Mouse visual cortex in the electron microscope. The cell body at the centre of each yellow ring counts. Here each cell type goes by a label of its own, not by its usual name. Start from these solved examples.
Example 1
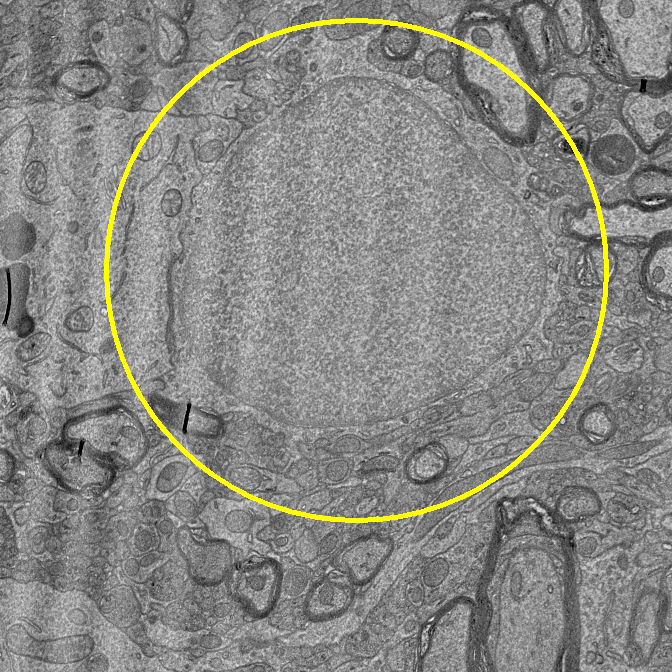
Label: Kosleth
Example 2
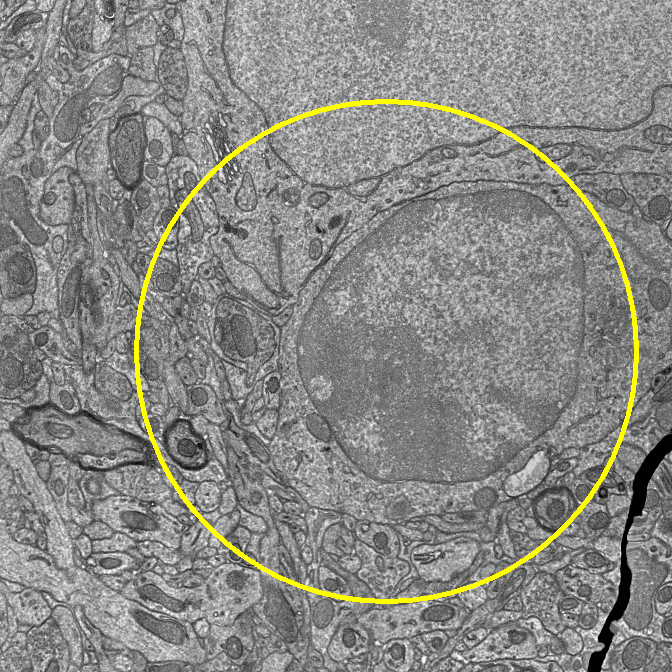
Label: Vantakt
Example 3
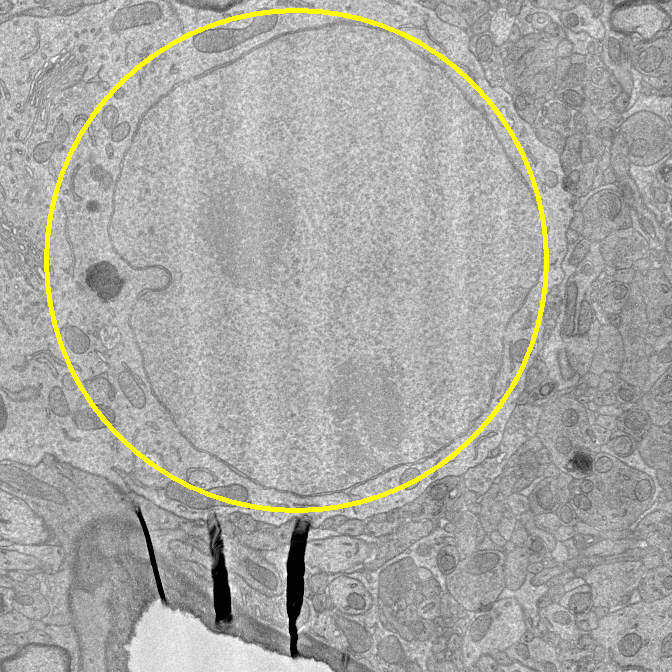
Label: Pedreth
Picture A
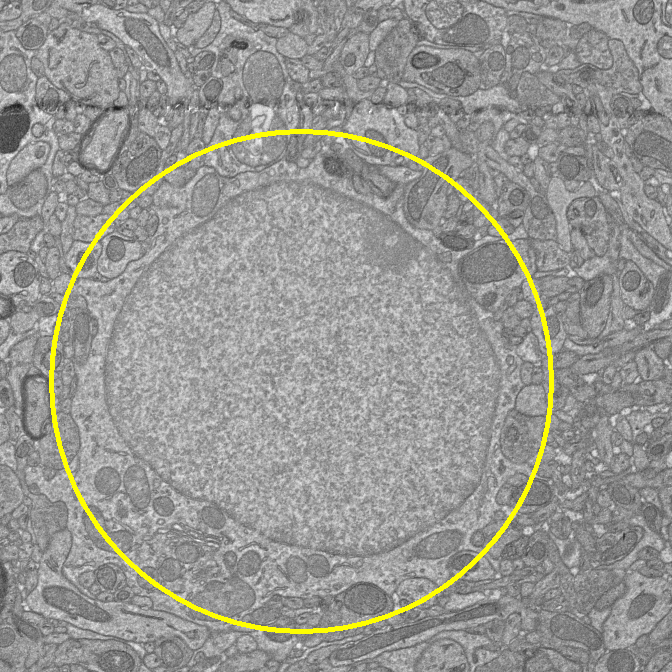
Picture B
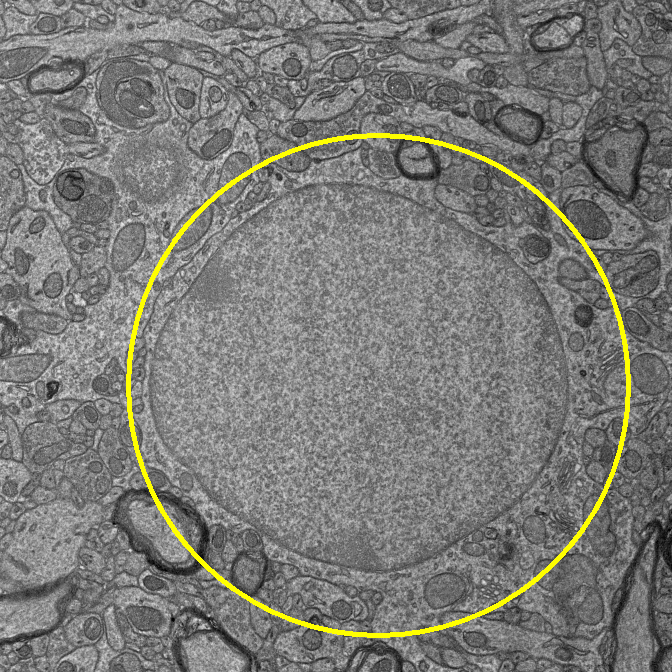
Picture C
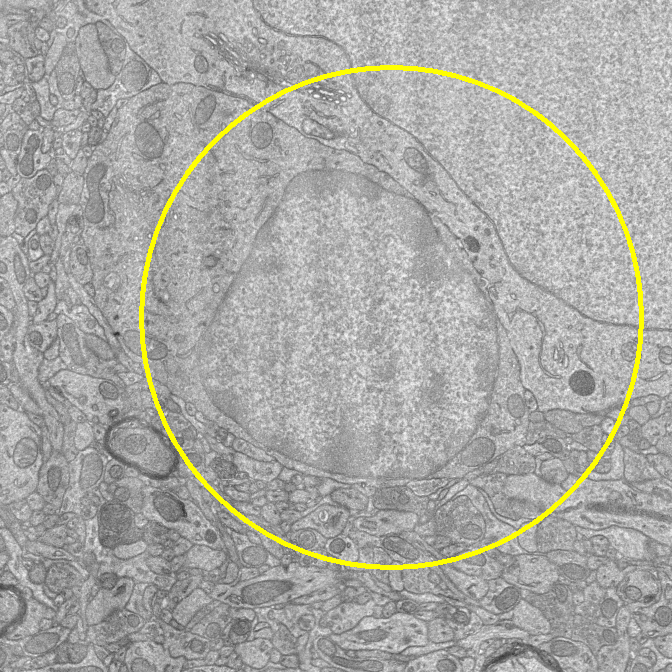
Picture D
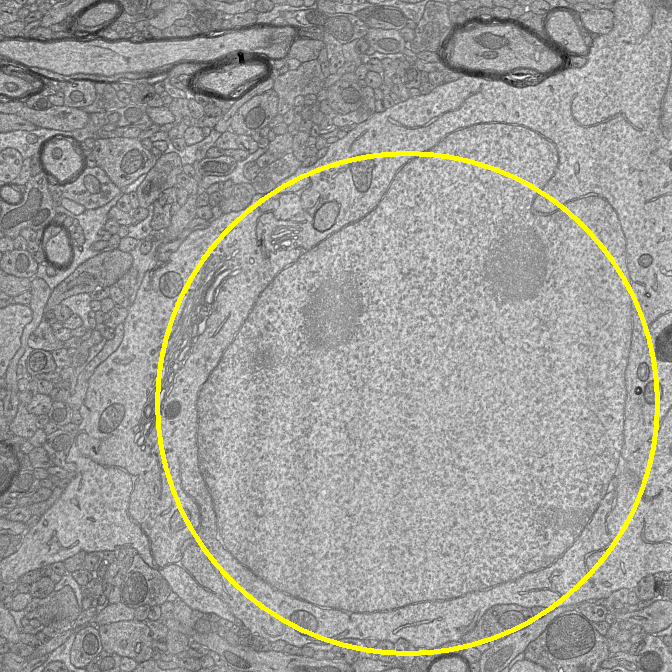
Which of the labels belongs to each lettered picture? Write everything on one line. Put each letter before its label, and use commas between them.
A Kosleth, B Kosleth, C Vantakt, D Pedreth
